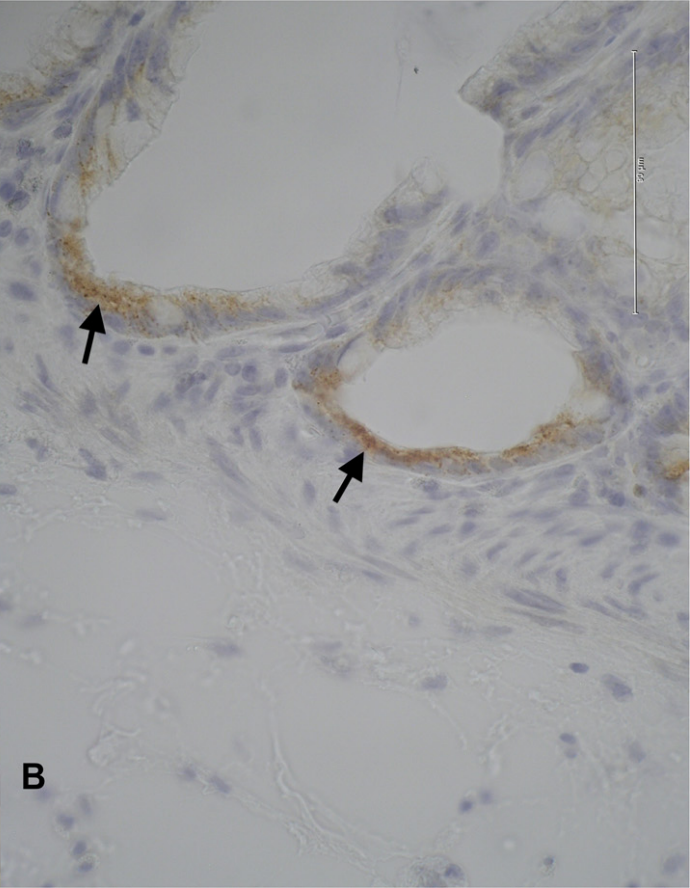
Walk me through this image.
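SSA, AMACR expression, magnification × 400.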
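This shows the lower parts of dilated crypts of intestinal mucosa, lined by a single layer of columnar epithelial cells. The crypt lumina are wide and rounded, much larger than the thickness of the epithelium. Fine brown granules fill the cytoplasm of the lining cells, most densely near the bottom of the crypts, while the oval nuclei are stained blue. Some lining cells higher up have pale, mucin-filled cytoplasm. Around the crypts lies loose stroma with scattered spindle-shaped nuclei.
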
